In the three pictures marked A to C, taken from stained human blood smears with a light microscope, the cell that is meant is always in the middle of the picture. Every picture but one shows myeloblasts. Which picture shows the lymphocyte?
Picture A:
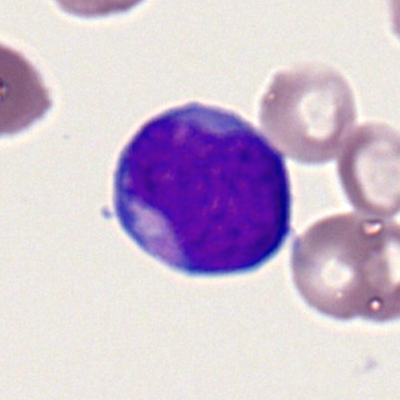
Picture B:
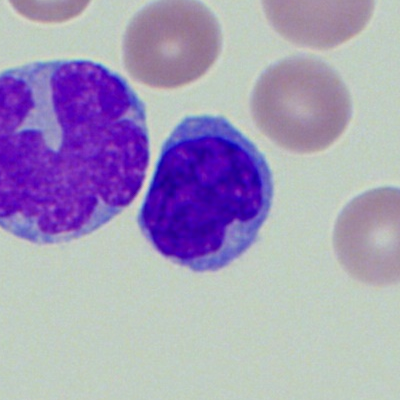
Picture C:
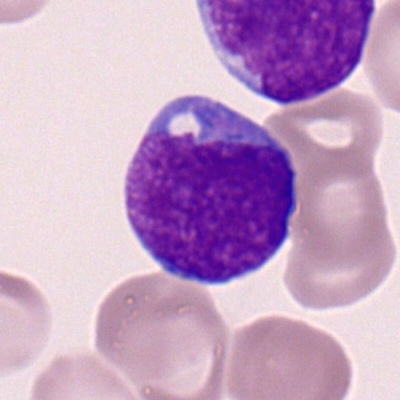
B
